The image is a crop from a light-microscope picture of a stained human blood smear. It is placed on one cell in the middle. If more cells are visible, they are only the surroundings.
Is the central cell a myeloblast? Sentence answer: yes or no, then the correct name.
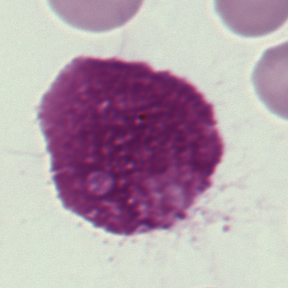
No, it is not a myeloblast that lies in the middle but a smudge cell.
